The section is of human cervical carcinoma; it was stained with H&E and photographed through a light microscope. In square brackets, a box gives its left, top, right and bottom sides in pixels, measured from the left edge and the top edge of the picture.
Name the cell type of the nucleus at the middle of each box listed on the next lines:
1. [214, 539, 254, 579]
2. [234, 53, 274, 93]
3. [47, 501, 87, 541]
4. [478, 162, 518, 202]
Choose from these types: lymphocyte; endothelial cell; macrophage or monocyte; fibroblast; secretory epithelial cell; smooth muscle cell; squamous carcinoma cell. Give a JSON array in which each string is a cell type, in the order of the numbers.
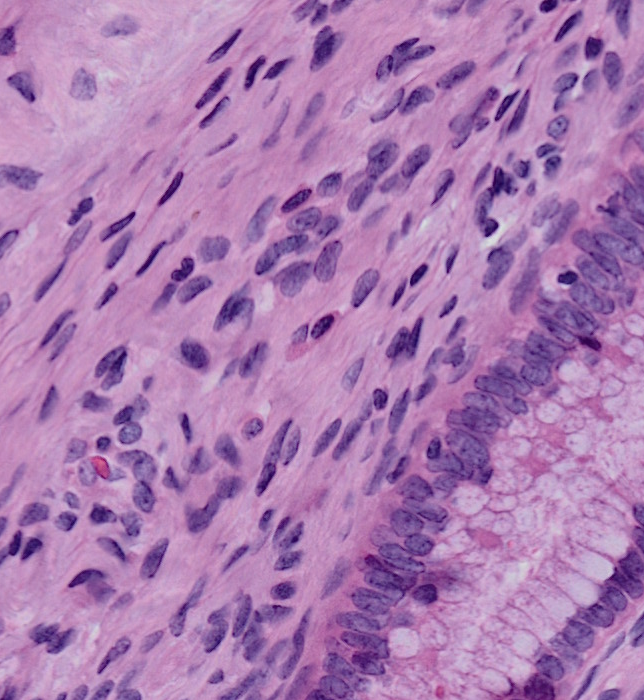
["fibroblast", "fibroblast", "fibroblast", "lymphocyte"]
